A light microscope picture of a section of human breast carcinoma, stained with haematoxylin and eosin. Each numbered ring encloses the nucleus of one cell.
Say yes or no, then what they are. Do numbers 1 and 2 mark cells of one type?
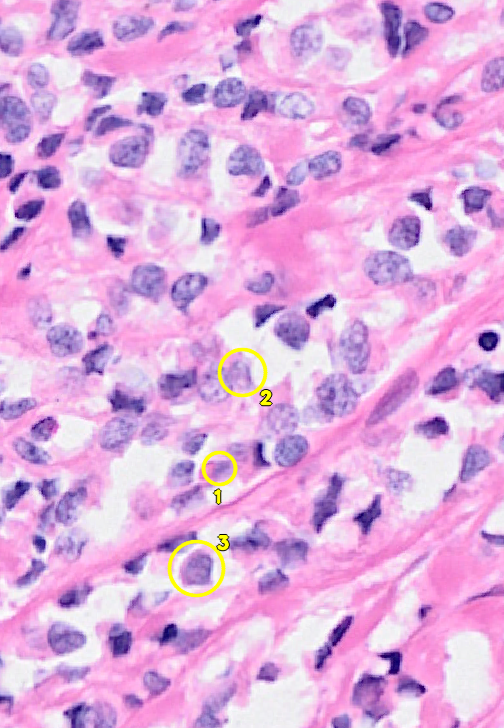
No, rather, cell 1 is an endothelial cell and cell 2 is a carcinoma cell.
